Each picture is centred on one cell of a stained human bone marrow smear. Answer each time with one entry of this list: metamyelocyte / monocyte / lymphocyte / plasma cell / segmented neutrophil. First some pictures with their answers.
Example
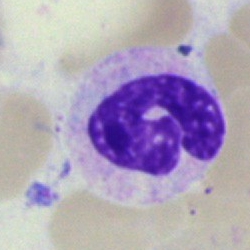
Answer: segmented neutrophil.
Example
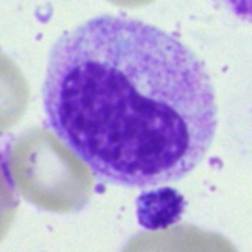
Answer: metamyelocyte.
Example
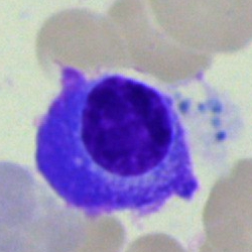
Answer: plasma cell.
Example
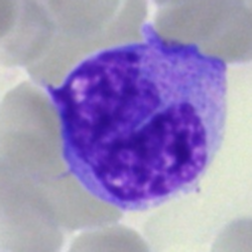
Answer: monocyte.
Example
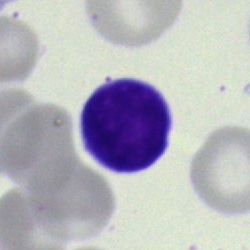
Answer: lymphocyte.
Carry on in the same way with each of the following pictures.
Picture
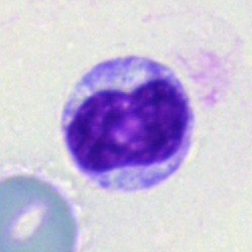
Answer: metamyelocyte.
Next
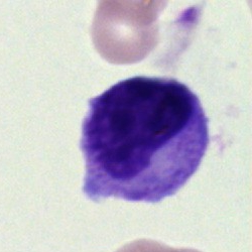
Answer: metamyelocyte.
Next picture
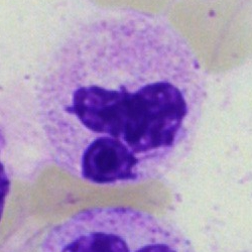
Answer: segmented neutrophil.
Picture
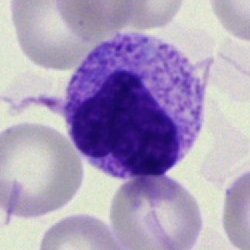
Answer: metamyelocyte.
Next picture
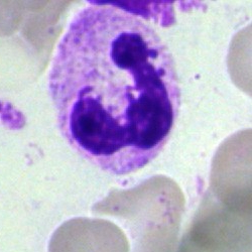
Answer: segmented neutrophil.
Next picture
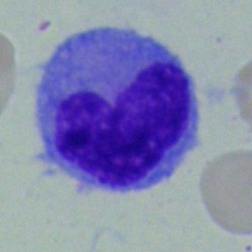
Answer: monocyte.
